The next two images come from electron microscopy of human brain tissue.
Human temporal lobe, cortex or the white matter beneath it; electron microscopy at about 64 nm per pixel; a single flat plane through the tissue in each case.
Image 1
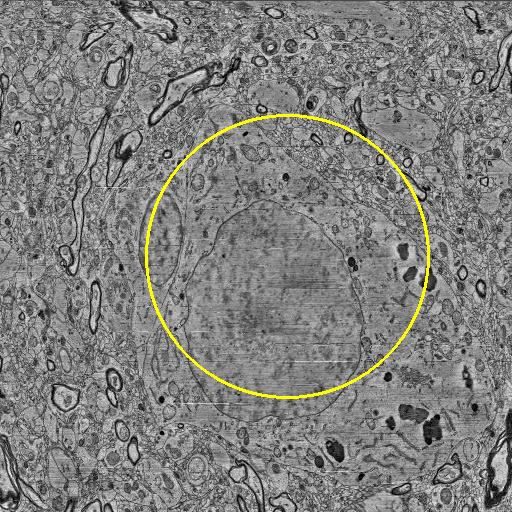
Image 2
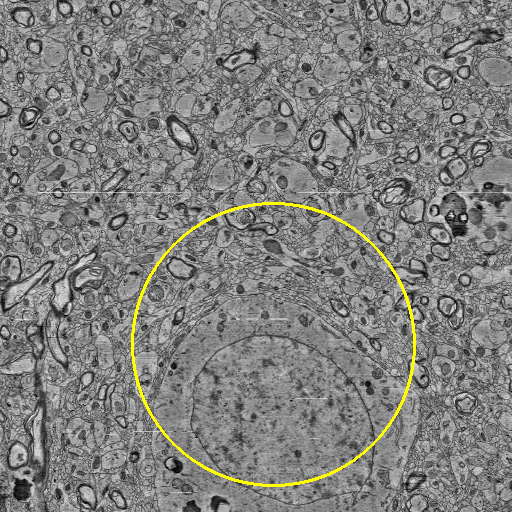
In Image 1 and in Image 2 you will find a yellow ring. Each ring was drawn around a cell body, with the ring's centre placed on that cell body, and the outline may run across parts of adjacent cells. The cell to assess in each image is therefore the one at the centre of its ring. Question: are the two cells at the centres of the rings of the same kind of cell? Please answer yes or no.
yes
